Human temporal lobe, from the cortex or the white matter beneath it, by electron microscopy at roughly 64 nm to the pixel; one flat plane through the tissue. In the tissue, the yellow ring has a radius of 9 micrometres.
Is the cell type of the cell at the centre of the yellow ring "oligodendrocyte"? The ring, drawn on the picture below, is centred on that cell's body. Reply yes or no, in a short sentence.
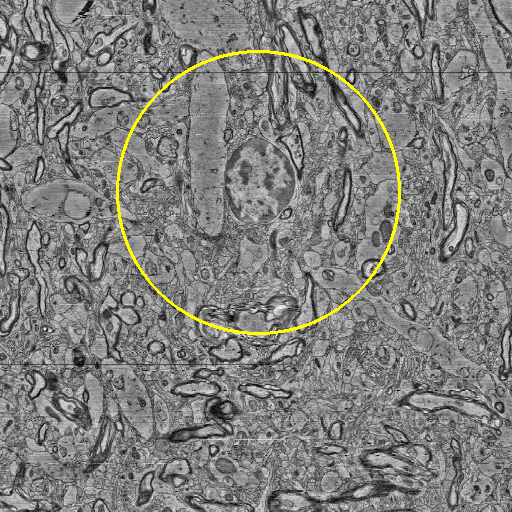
No, its cell type is another.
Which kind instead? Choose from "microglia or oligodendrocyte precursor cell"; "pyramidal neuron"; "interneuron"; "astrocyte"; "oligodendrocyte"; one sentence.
Instead, the cell at the centre of the ring is a microglial cell or oligodendrocyte precursor cell.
